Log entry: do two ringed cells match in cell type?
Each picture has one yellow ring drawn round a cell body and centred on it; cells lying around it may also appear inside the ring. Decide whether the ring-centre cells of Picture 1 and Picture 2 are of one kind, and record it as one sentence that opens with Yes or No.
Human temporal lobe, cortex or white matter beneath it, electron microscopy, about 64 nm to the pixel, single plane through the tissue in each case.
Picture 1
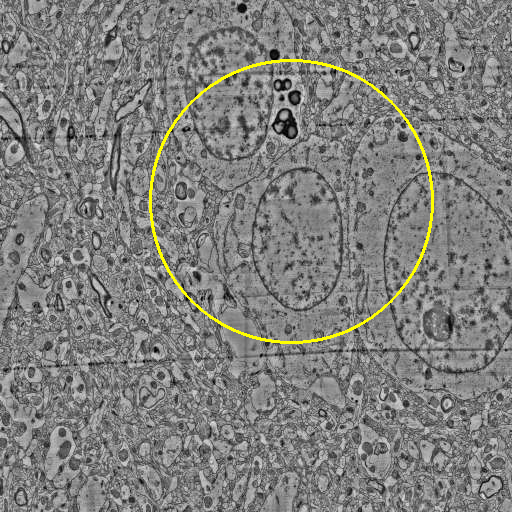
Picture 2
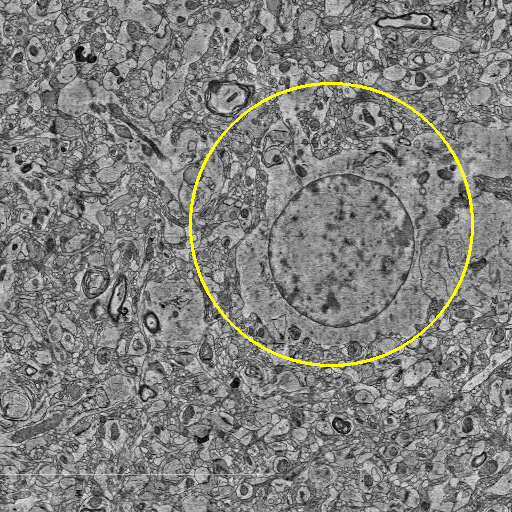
No, the cells at the ring centres of the two pictures belong to two kinds.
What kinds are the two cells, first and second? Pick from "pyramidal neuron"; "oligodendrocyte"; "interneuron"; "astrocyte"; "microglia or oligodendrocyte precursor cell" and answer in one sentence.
The second picture holds an astrocyte in its ring, and the first holds a pyramidal neuron.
